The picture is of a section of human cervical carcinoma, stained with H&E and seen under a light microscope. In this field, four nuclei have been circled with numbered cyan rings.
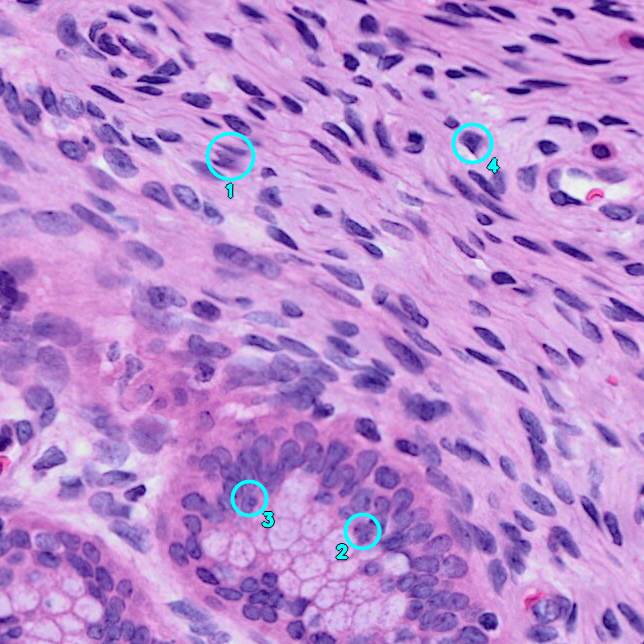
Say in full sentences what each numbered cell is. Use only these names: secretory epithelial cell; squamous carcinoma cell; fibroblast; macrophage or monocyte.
Cell 1 is a fibroblast, cell 2 is a secretory epithelial cell, cell 3 is a secretory epithelial cell and cell 4 is a fibroblast.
